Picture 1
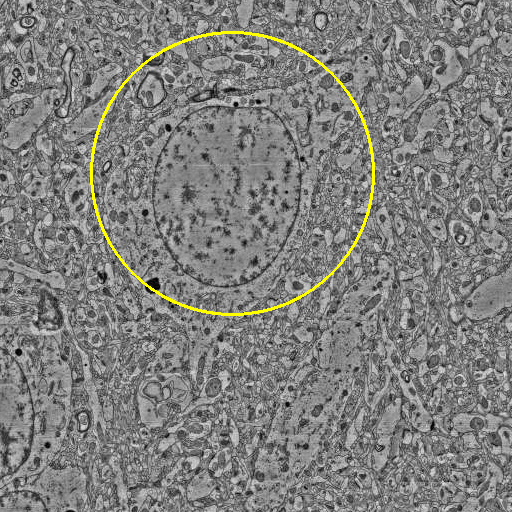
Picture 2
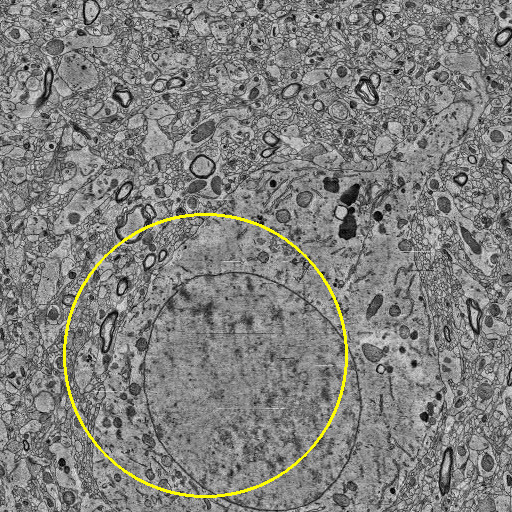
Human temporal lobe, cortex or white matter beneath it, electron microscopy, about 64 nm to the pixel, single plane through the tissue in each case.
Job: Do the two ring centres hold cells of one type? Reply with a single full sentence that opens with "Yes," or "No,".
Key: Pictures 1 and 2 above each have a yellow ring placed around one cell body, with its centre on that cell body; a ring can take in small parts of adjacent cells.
Yes, the cells at the two ring centres are of one single type.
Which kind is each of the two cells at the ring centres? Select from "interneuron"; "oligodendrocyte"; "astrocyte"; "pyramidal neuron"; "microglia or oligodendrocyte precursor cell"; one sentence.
Both cells are the same kind, each one being a pyramidal neuron.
